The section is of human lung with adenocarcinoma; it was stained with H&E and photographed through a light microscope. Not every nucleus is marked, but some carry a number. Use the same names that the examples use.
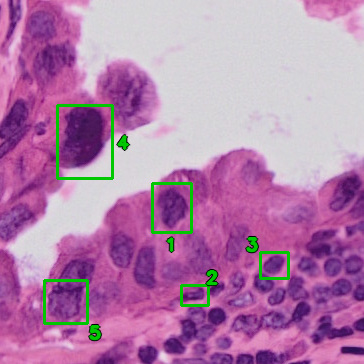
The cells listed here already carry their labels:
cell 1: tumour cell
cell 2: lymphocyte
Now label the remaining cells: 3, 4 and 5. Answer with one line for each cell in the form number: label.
3: lymphocyte
4: tumour cell
5: tumour cell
